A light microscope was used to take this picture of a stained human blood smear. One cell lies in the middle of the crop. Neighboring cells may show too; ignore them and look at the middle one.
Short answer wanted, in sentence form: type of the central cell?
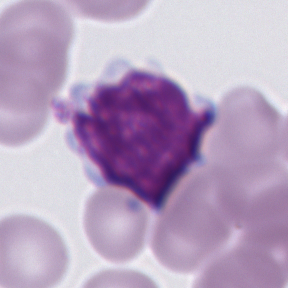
On this slide crop, the central cell is a large granular lymphocyte.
